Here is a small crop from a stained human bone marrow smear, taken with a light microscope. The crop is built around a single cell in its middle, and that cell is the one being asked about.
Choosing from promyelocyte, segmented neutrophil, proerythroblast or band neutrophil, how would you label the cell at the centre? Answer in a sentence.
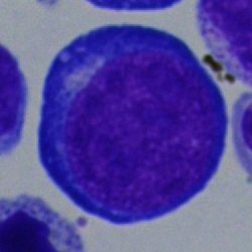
The middle of this crop holds a proerythroblast.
